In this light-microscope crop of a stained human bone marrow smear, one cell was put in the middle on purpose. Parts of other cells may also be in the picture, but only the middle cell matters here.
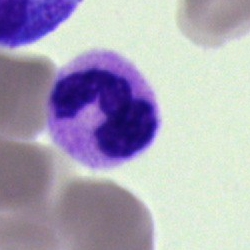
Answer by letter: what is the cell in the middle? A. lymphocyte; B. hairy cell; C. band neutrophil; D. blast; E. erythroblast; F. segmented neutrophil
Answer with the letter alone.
F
